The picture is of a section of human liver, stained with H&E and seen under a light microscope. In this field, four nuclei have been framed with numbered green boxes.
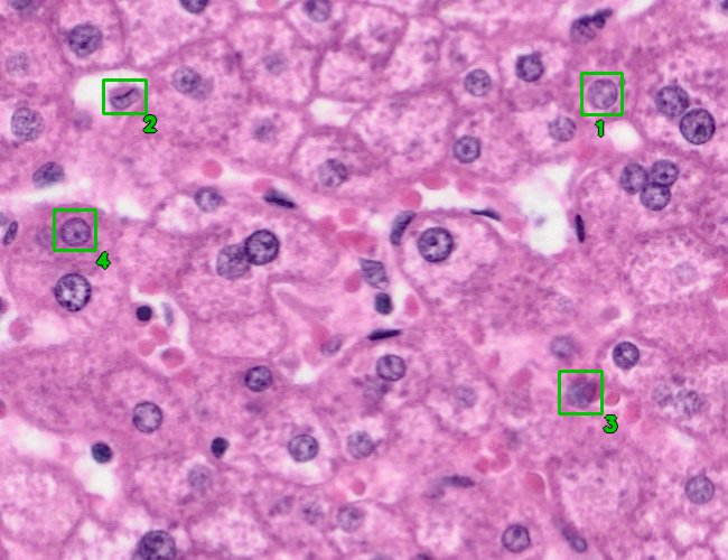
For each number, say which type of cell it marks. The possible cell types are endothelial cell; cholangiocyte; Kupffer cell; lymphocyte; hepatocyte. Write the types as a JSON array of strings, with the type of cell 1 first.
["hepatocyte", "Kupffer cell", "endothelial cell", "hepatocyte"]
